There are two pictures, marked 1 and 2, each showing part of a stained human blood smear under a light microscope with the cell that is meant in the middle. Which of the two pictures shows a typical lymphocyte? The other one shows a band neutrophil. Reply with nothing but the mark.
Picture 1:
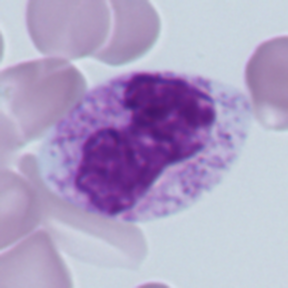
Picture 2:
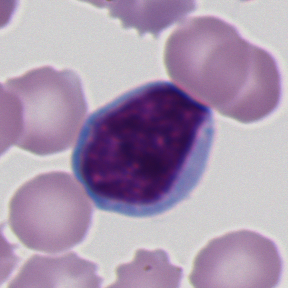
2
